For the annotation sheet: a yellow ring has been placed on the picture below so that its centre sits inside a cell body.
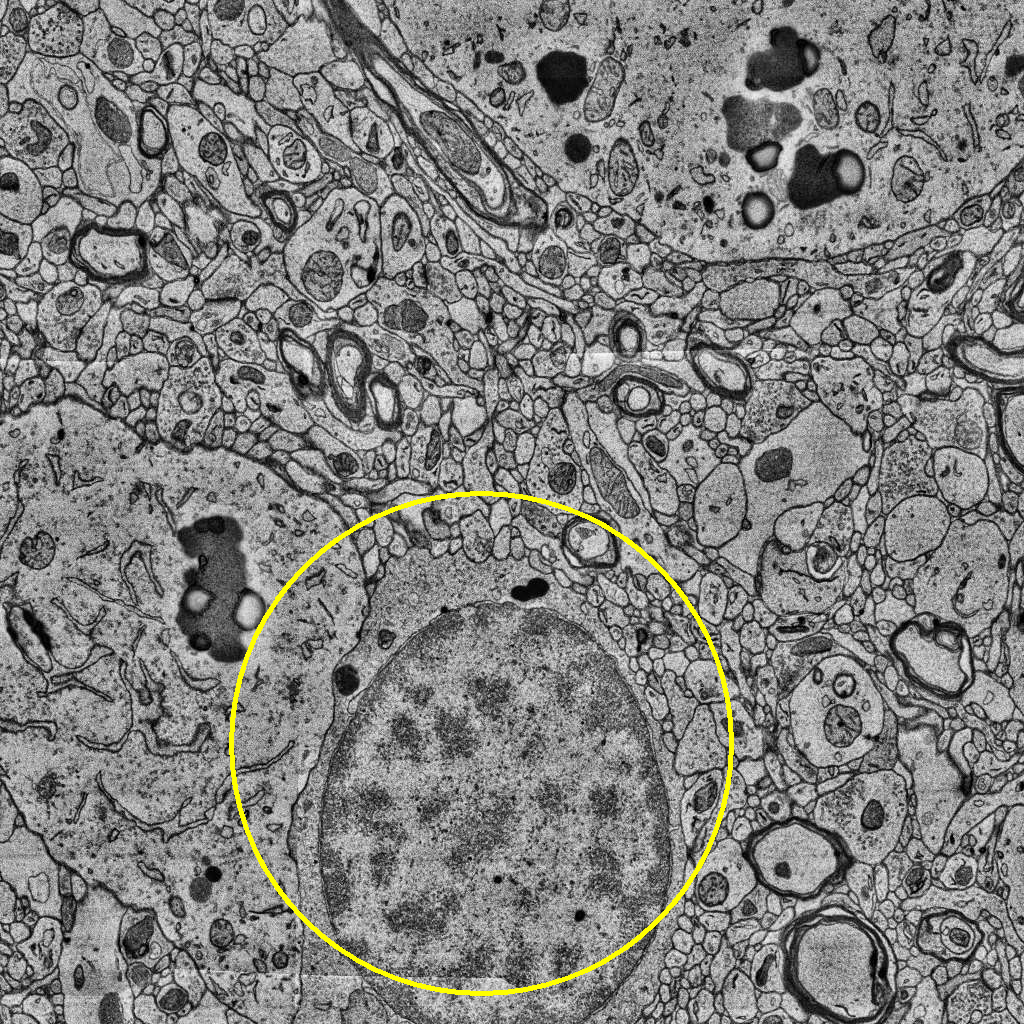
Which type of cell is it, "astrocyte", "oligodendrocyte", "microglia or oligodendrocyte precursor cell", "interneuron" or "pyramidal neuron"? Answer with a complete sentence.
The cell at the ring's centre is an oligodendrocyte.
